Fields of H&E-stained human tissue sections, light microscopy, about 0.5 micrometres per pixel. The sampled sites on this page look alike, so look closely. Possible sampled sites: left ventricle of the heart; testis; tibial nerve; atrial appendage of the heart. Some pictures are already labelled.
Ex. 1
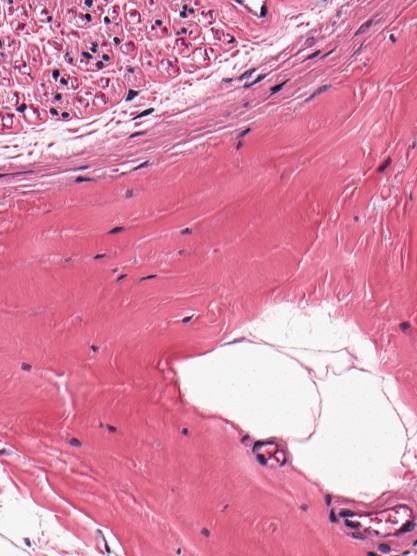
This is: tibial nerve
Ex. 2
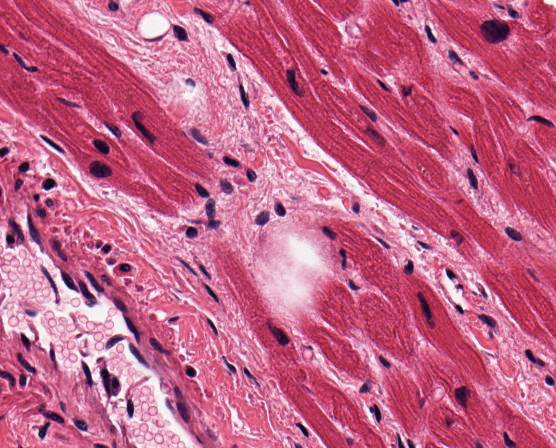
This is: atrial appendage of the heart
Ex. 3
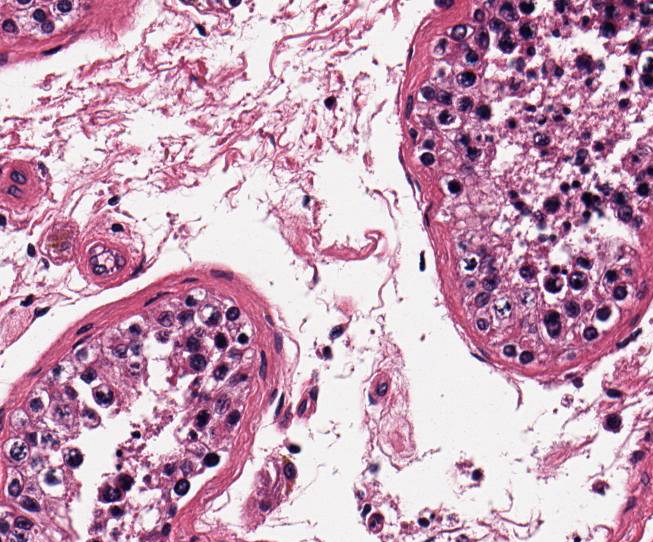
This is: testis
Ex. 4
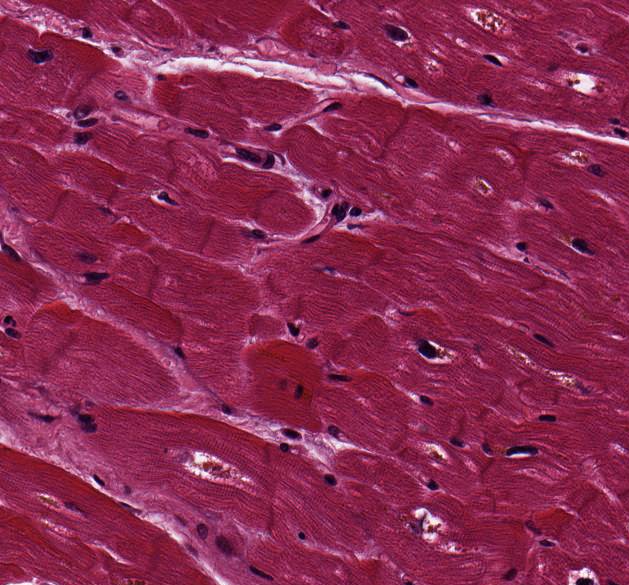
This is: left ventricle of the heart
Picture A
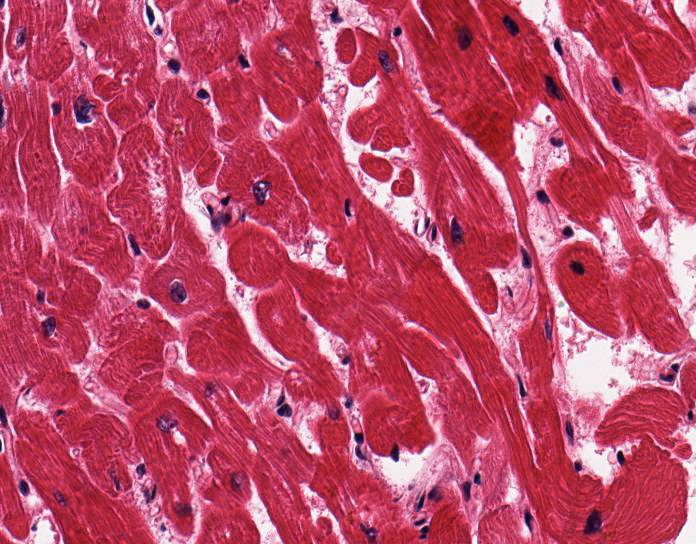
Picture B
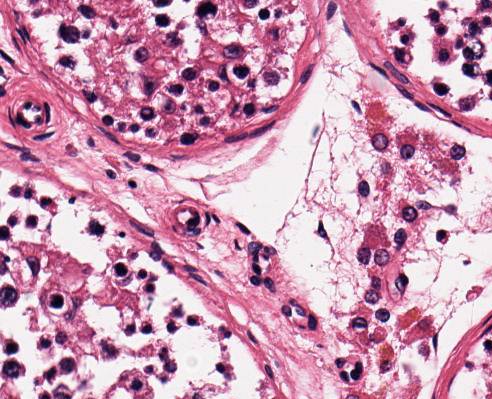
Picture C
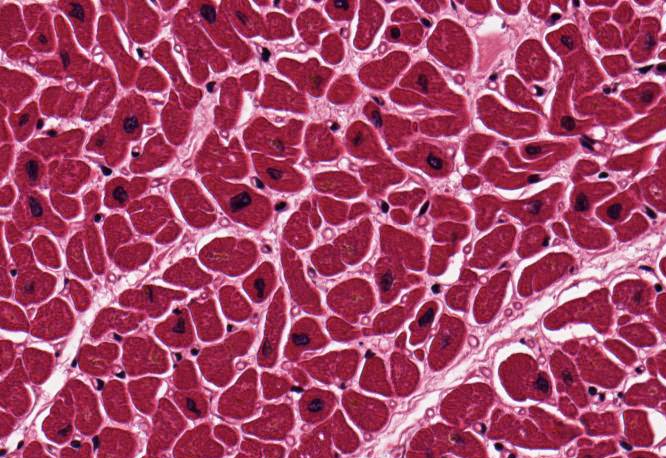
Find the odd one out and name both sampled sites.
Odd one out: B (testis). The rest: left ventricle of the heart.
